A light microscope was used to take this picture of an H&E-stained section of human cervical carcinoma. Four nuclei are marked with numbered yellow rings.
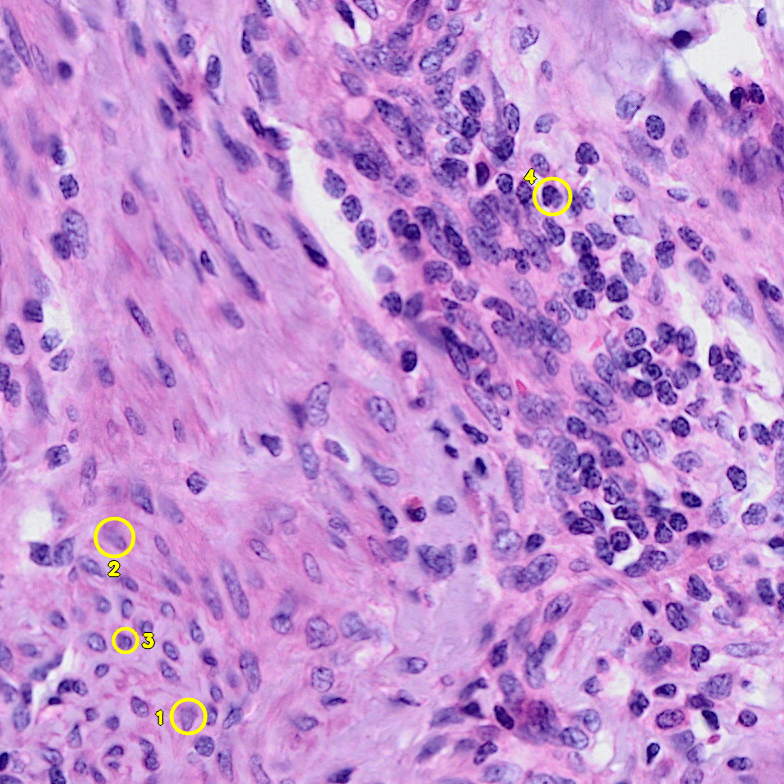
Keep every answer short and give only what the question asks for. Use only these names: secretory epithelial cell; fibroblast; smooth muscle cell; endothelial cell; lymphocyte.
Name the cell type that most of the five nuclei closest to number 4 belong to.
lymphocyte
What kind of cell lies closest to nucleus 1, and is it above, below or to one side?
a smooth muscle cell to the right of nucleus 1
